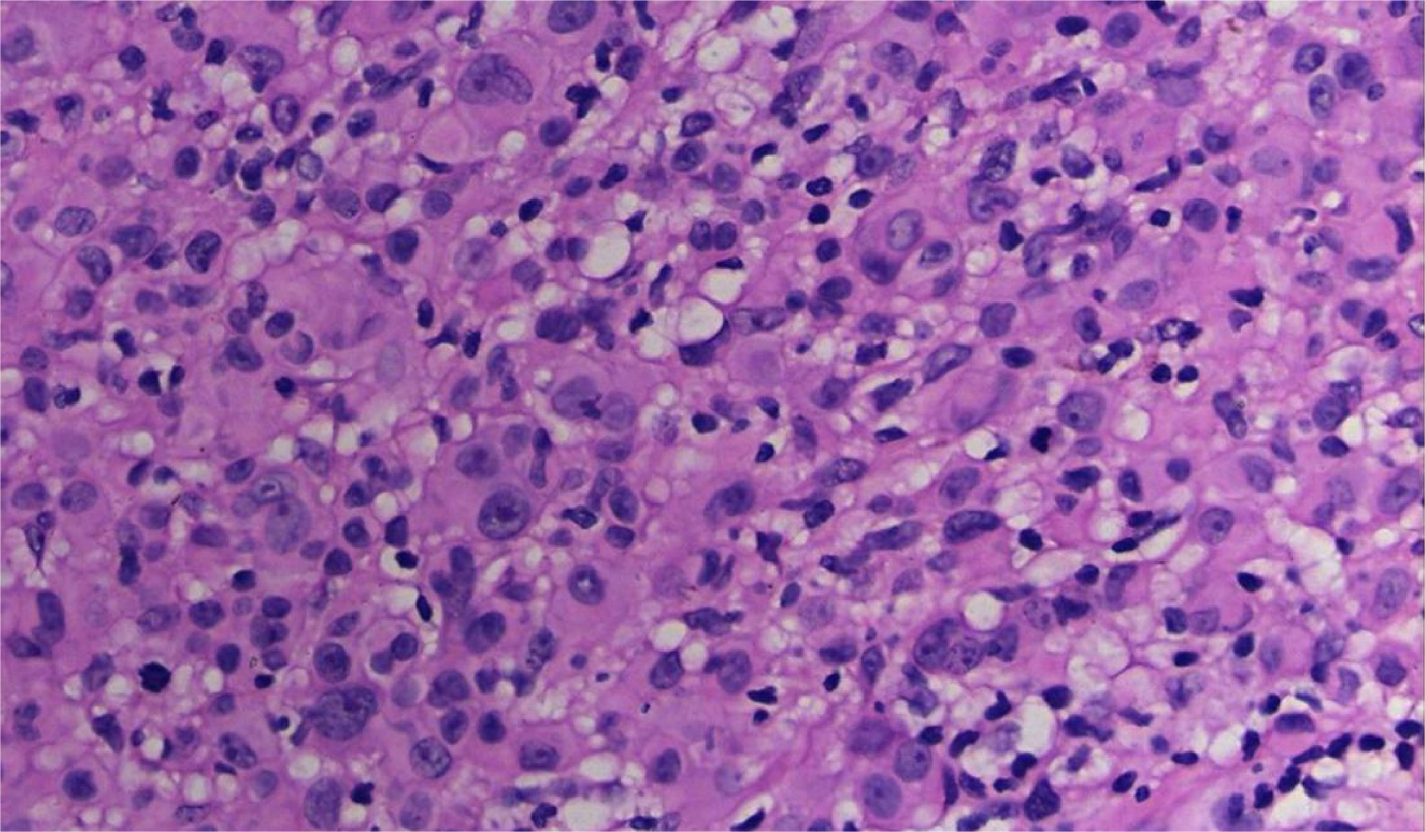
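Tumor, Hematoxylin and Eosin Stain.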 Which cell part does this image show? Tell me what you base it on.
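Abundant cytoplasm. Many large cells have a wide rim of pale pink cytoplasm around a single nucleus. The cytoplasm takes up most of the area of these large cells.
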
